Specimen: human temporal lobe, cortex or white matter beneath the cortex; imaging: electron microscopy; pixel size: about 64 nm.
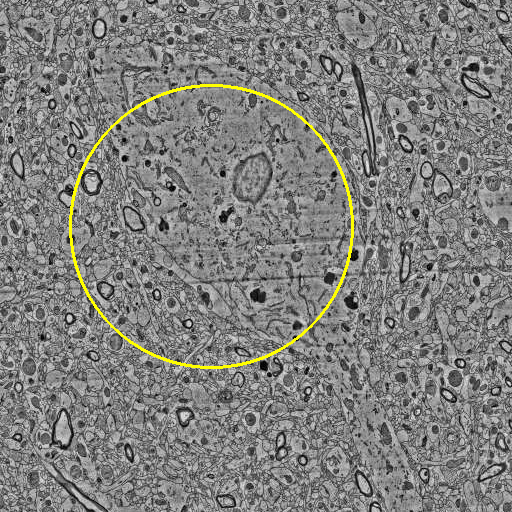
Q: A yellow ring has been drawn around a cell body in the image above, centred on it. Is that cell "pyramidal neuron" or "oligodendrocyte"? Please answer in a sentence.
The ring surrounds the cell body of an oligodendrocyte.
